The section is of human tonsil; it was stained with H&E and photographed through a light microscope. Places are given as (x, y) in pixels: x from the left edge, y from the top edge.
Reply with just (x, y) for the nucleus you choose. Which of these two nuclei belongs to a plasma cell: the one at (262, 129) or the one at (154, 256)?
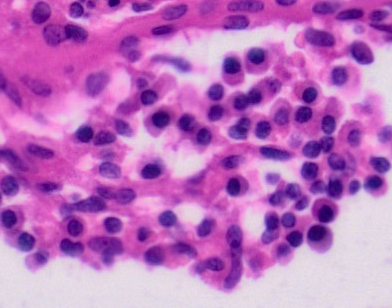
(262, 129)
